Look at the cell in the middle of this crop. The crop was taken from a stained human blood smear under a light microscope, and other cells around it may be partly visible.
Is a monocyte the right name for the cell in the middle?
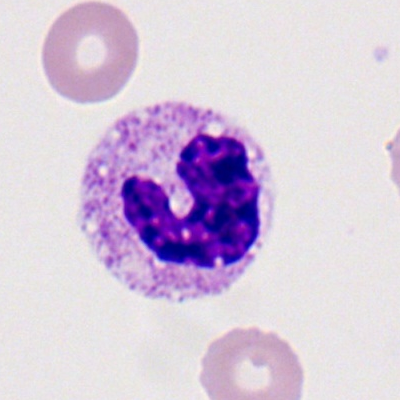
no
